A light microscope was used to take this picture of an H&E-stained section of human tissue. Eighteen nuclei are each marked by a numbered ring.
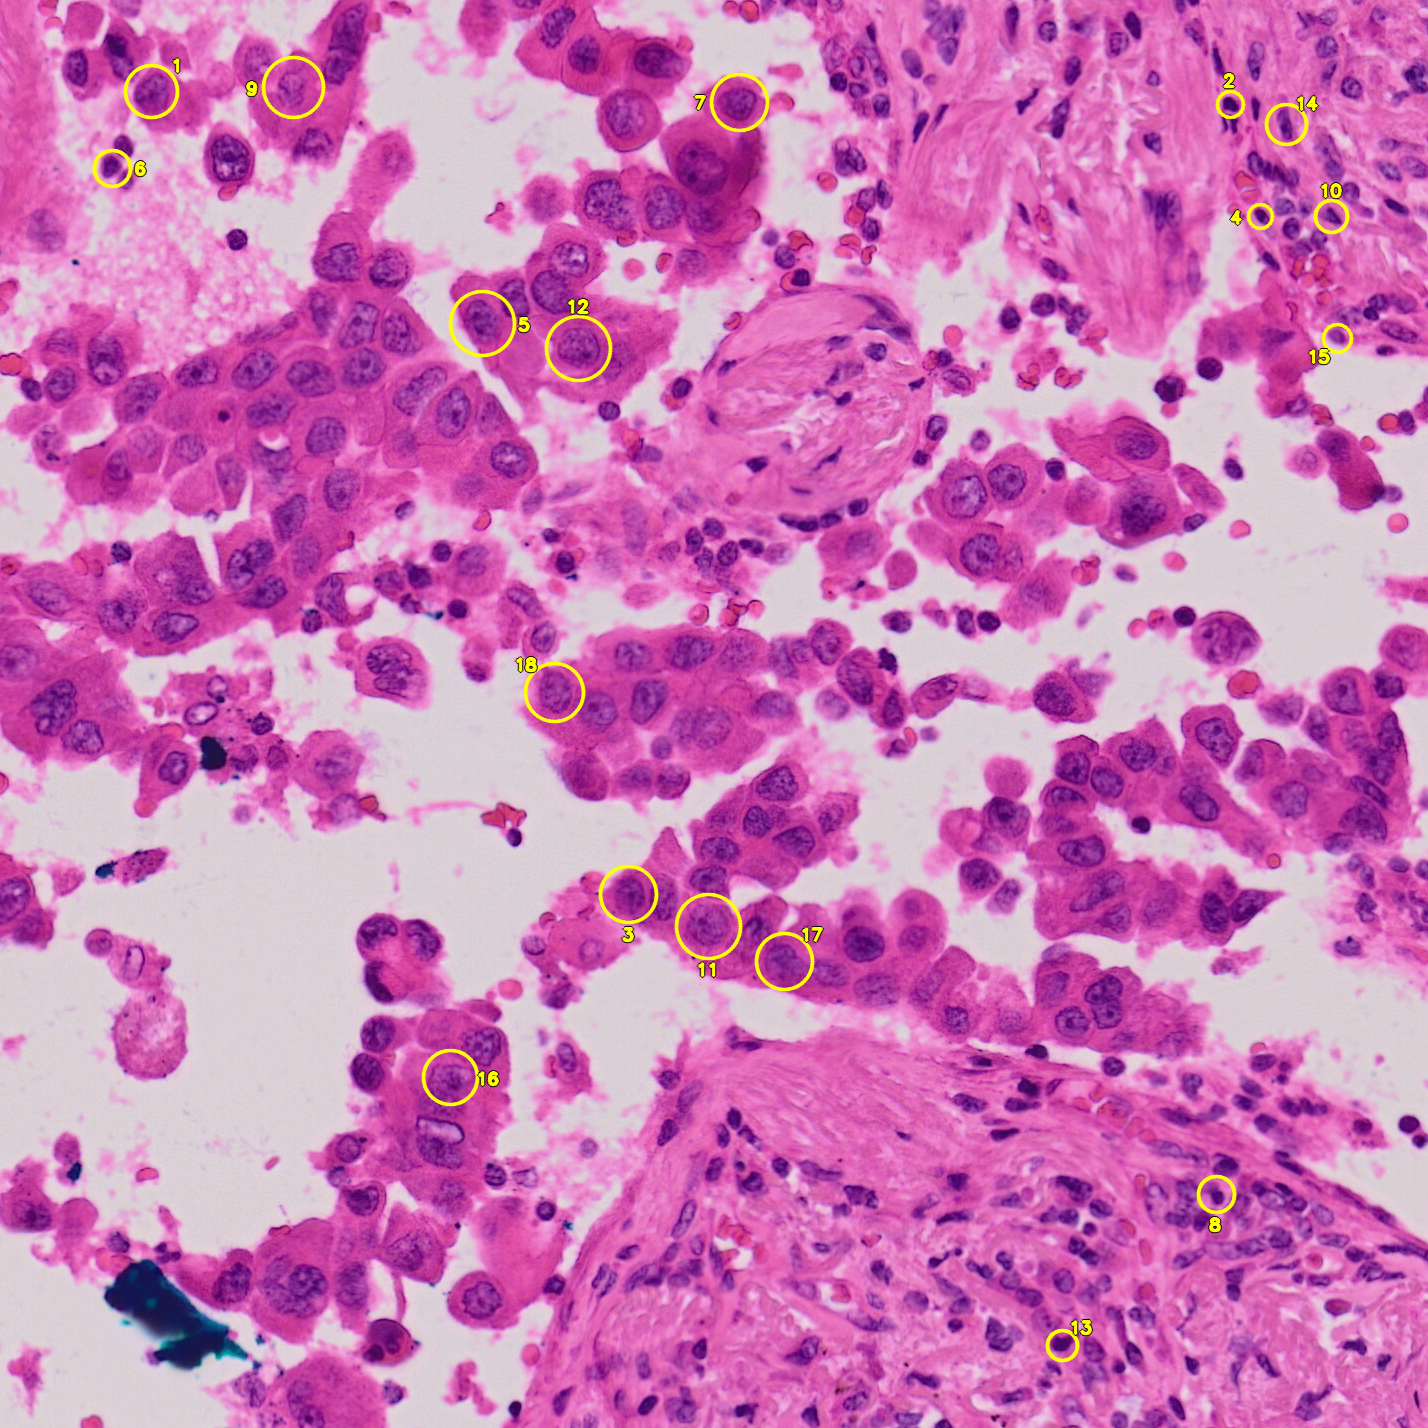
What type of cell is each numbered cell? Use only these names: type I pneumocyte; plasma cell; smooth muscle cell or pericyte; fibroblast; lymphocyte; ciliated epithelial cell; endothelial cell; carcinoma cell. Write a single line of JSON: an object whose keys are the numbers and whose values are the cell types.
{"1": "carcinoma cell", "2": "lymphocyte", "3": "carcinoma cell", "4": "lymphocyte", "5": "carcinoma cell", "6": "lymphocyte", "7": "carcinoma cell", "8": "lymphocyte", "9": "carcinoma cell", "10": "lymphocyte", "11": "carcinoma cell", "12": "carcinoma cell", "13": "plasma cell", "14": "plasma cell", "15": "lymphocyte", "16": "carcinoma cell", "17": "carcinoma cell", "18": "carcinoma cell"}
